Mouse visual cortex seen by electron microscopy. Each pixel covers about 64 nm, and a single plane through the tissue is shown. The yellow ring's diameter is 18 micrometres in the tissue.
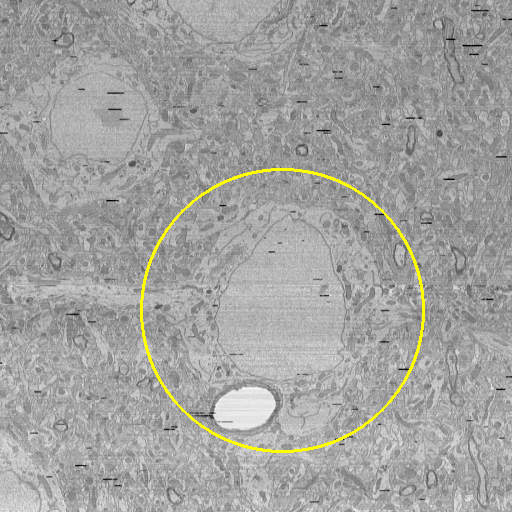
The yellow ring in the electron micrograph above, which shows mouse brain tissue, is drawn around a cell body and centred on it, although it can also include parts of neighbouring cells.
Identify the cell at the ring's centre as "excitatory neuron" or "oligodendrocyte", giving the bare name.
excitatory neuron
